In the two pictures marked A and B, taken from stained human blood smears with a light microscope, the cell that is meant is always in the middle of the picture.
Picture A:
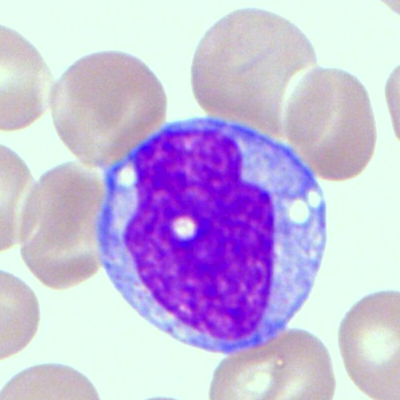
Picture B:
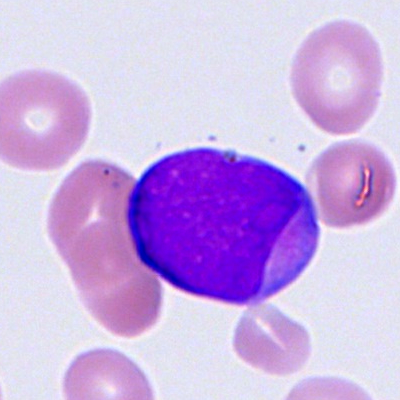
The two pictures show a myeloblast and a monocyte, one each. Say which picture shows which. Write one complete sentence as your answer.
Picture B shows a myeloblast, while picture A shows a monocyte.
